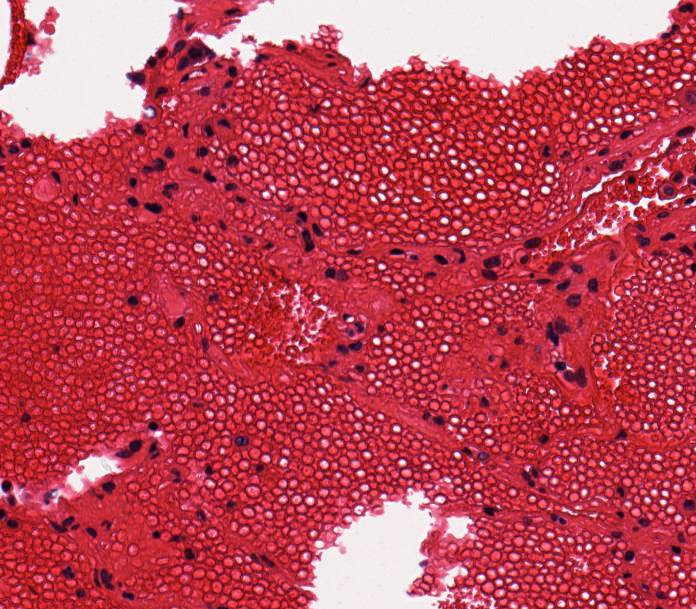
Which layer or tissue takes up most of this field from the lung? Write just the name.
blood in a vessel or clot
